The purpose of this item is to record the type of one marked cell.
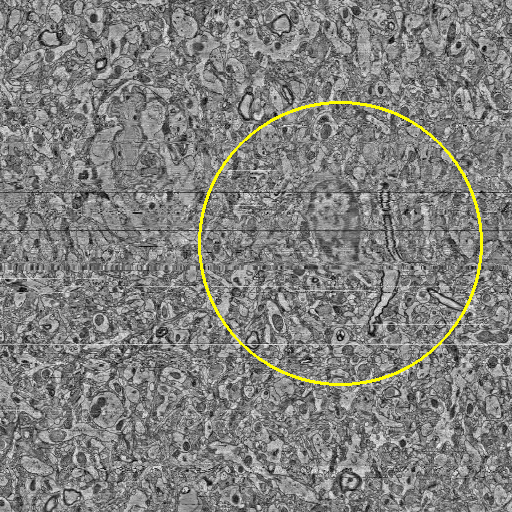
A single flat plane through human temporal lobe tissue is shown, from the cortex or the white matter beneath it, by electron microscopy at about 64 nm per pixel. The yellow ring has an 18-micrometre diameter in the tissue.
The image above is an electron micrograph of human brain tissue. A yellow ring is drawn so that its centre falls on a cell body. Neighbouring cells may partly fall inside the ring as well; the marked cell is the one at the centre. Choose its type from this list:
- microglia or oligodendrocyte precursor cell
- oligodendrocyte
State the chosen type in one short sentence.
What the ring marks here is an oligodendrocyte.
